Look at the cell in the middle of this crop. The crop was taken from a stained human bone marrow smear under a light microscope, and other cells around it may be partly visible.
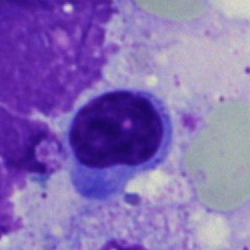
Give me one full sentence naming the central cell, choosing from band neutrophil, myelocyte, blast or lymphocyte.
In the centre of this crop there is a lymphocyte.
